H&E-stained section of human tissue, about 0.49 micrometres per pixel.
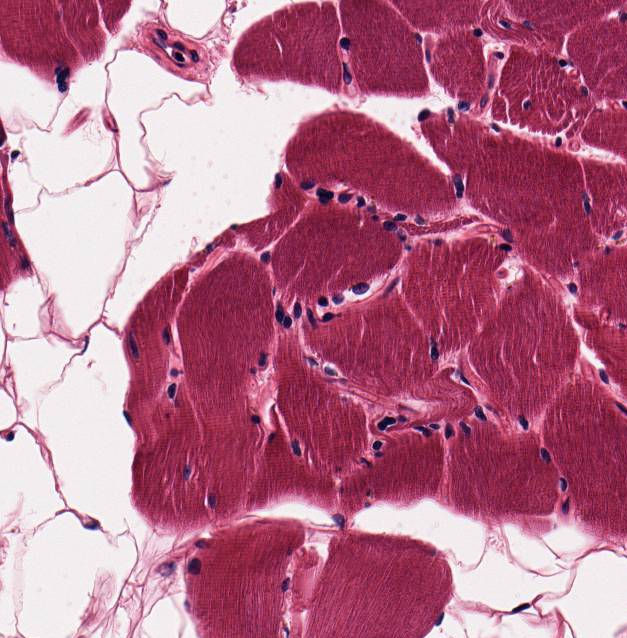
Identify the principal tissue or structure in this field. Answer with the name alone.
skeletal muscle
